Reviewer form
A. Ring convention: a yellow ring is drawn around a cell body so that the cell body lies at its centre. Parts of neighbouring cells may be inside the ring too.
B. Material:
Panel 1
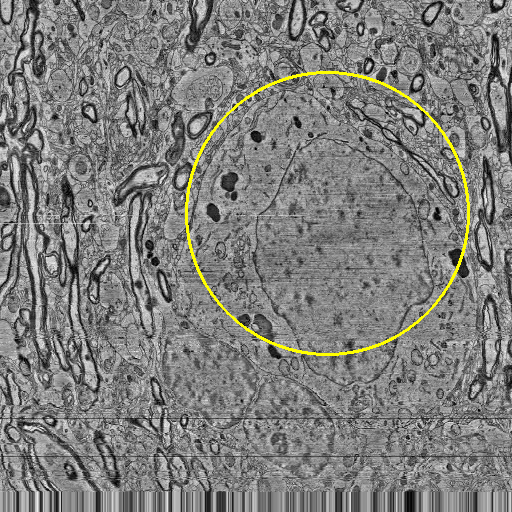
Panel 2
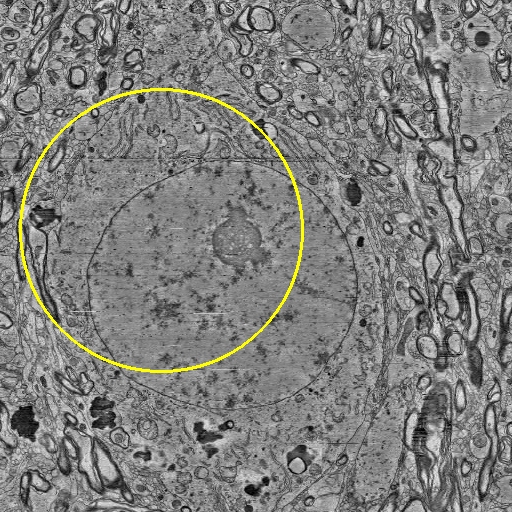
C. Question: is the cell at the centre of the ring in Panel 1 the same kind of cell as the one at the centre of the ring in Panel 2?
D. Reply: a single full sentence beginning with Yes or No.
Yes, the cells in Panel 1 and Panel 2 are the same kind of cell.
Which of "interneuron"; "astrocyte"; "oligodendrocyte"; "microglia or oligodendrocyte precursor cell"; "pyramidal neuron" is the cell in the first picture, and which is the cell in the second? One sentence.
In each picture the ringed cell is a pyramidal neuron.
